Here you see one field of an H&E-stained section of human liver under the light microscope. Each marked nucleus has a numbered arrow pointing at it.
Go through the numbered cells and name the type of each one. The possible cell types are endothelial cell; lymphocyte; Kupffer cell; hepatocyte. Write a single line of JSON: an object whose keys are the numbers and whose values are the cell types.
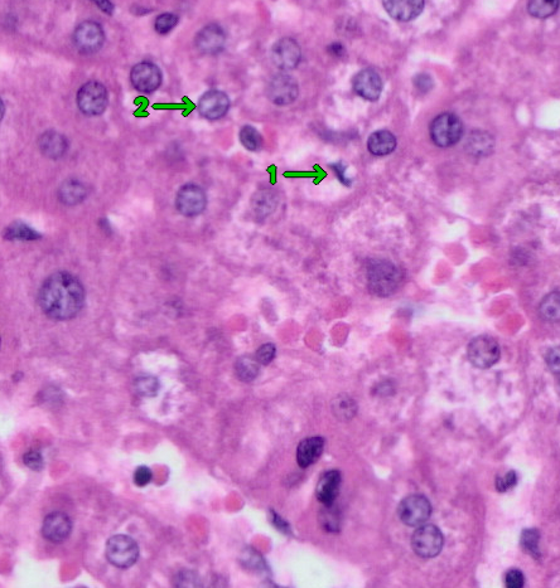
{"1": "endothelial cell", "2": "hepatocyte"}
